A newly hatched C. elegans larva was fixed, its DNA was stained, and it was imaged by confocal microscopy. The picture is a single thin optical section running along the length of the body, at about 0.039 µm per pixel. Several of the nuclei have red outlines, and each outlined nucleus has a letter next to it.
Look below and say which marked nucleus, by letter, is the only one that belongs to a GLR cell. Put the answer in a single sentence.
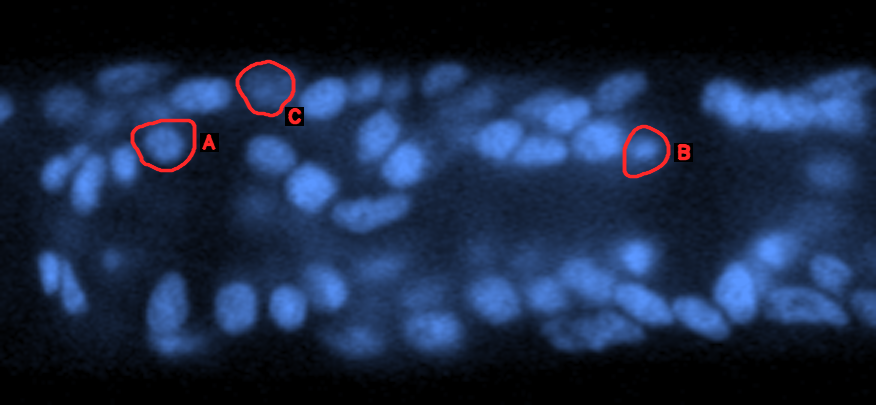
B is from a GLR cell.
